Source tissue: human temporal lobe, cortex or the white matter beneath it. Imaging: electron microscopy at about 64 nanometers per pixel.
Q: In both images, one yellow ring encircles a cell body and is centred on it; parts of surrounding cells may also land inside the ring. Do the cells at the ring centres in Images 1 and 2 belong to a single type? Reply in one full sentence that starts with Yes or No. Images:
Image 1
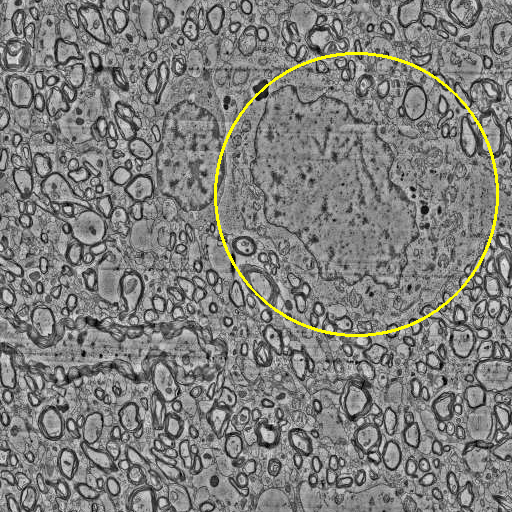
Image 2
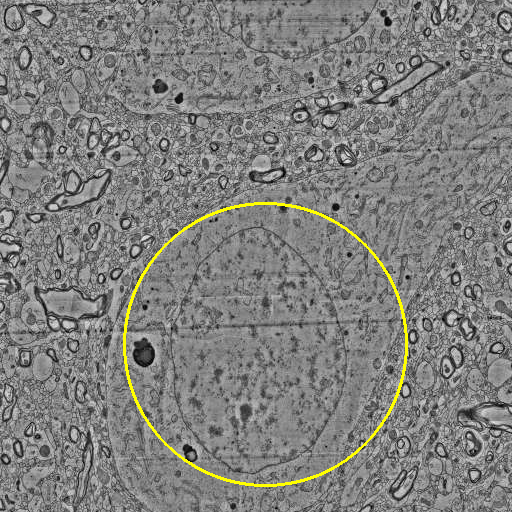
Yes, the cells at the ring centres in Images 1 and 2 are of a single type.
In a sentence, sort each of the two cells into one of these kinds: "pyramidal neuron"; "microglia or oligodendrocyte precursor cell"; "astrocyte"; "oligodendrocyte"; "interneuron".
The first and the second cell are each a pyramidal neuron.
